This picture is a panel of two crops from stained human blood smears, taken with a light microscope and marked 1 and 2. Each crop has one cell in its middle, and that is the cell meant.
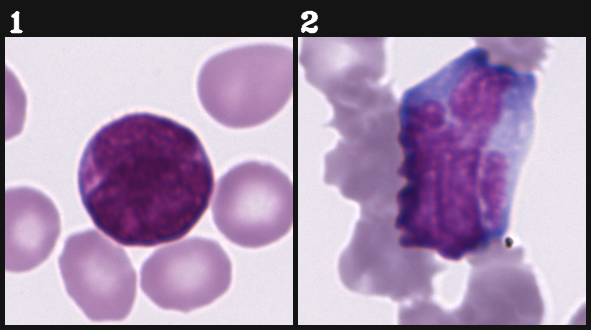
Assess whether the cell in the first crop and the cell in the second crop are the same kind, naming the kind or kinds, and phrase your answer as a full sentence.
Yes, both crops show blasts in the centre of the field.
